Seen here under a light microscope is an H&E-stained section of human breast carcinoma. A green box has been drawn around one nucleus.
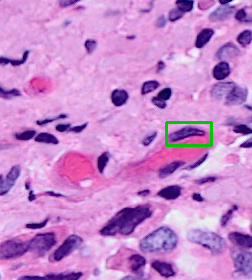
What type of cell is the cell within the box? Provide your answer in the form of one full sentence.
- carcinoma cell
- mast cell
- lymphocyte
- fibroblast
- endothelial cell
Placed in its cell category, the cell within the box is an endothelial cell.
